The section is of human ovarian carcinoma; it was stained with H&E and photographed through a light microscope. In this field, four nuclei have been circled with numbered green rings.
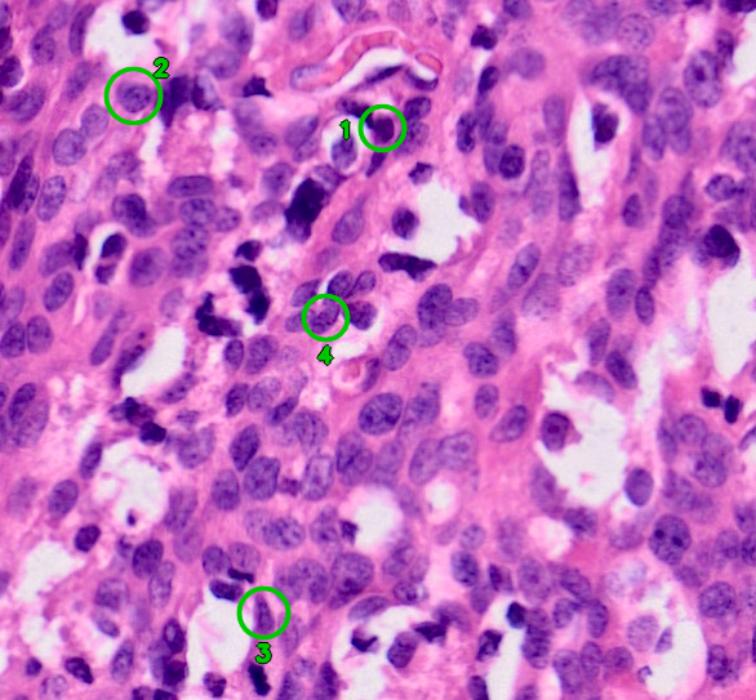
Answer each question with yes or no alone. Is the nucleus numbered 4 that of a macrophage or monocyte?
no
